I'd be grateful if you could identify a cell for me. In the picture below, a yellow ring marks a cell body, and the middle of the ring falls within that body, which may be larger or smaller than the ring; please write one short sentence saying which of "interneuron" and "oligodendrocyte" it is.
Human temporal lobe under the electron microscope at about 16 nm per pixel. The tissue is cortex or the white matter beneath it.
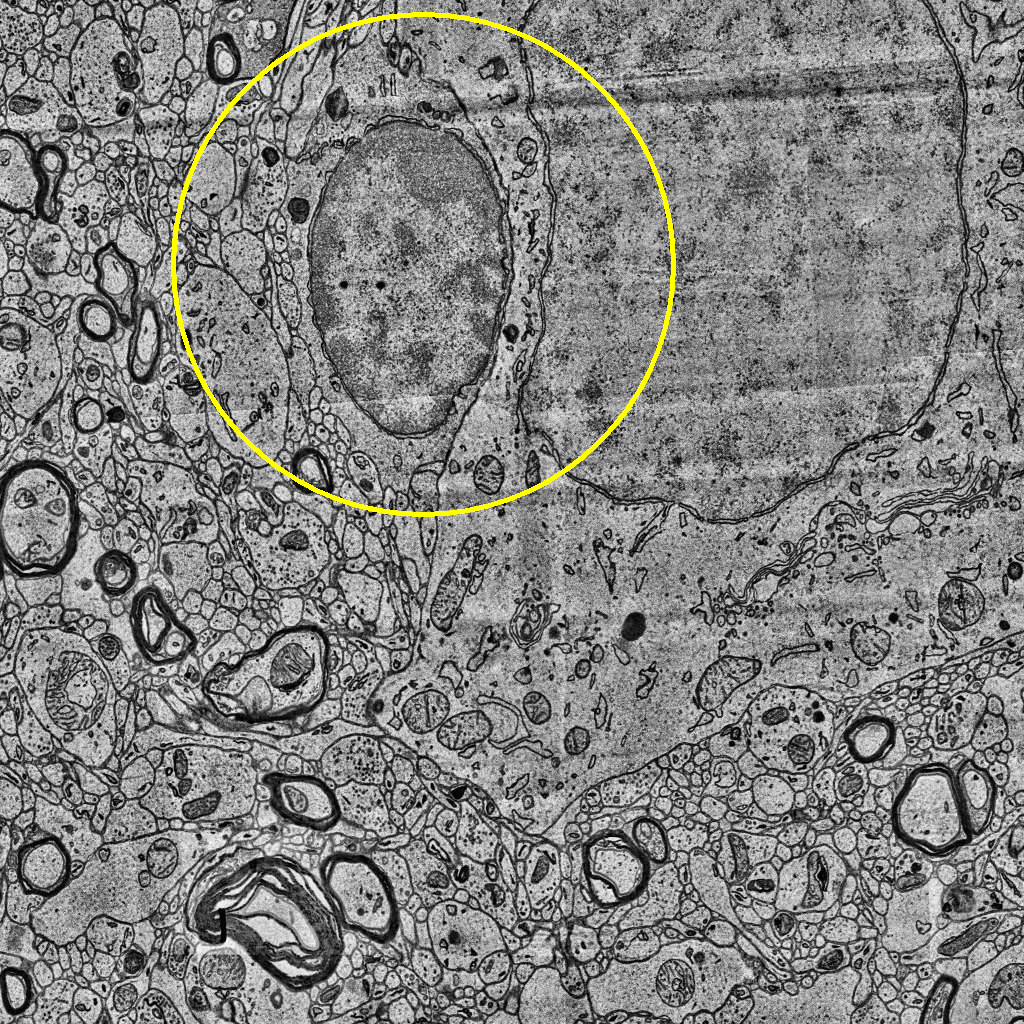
The cell under the ring's centre is an oligodendrocyte.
